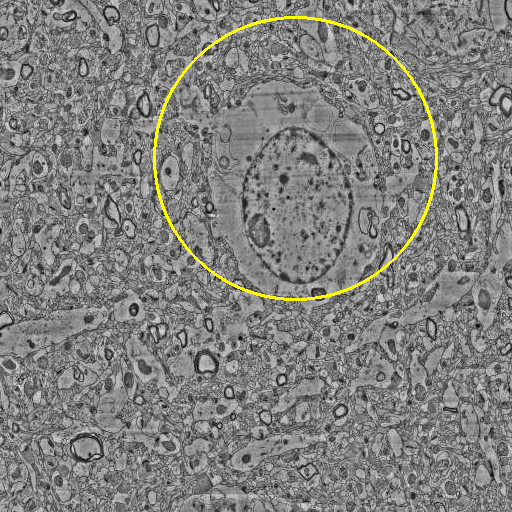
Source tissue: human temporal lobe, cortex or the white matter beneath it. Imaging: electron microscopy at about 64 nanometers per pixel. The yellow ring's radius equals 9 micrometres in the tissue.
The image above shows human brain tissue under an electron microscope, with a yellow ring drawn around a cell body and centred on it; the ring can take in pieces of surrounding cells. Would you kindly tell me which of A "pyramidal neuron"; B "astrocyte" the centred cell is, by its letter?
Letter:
B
